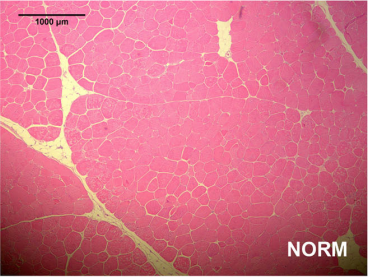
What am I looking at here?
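This is a cross-section of muscle tissue made up of pink, fairly uniform polygonal fibers. The fibers are packed tightly against one another, with only thin lines between them. They are grouped into large bundles. A few thin, pale strands of connective tissue run between these bundles. Little space is left open between the fibers inside each bundle.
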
